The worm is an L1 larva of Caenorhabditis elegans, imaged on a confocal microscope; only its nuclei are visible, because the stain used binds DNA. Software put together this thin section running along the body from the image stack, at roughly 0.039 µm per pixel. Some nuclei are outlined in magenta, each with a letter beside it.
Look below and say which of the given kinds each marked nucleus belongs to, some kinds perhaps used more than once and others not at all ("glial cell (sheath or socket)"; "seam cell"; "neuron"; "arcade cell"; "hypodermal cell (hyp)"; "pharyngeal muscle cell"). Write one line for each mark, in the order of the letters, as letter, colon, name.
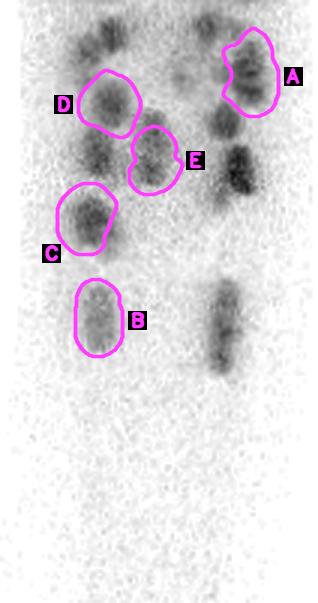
A: seam cell
B: hypodermal cell (hyp)
C: arcade cell
D: glial cell (sheath or socket)
E: pharyngeal muscle cell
